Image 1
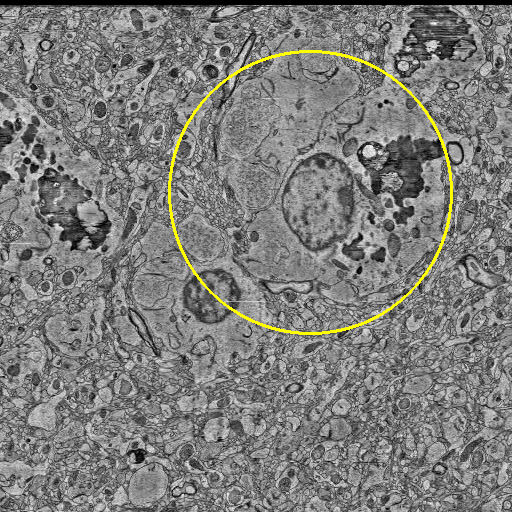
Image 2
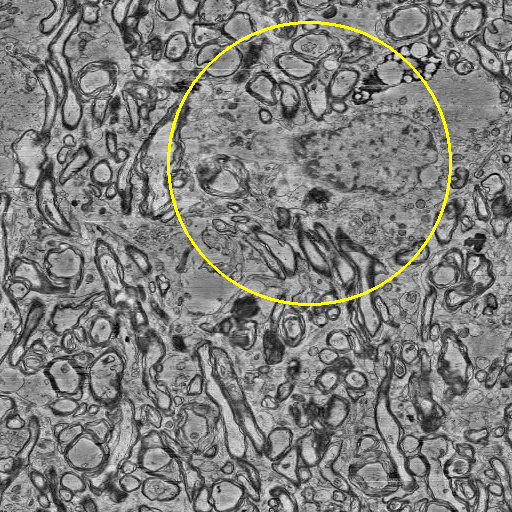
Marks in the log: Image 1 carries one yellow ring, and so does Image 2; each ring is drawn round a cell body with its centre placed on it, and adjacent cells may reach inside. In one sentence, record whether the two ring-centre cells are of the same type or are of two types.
The two cells at the ring centres, one in each image, are of the same type.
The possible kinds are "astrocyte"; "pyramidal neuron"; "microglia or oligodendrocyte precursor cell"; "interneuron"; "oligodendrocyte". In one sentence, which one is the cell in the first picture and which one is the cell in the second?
In both pictures the ring is centred on an astrocyte.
